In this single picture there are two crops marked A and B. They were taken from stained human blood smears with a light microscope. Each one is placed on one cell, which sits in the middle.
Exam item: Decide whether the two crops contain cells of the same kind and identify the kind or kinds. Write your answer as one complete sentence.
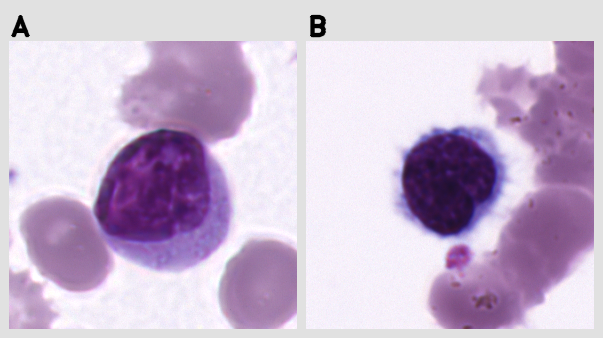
No, crop A contains a plasma cell, and crop B contains a hairy cell.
